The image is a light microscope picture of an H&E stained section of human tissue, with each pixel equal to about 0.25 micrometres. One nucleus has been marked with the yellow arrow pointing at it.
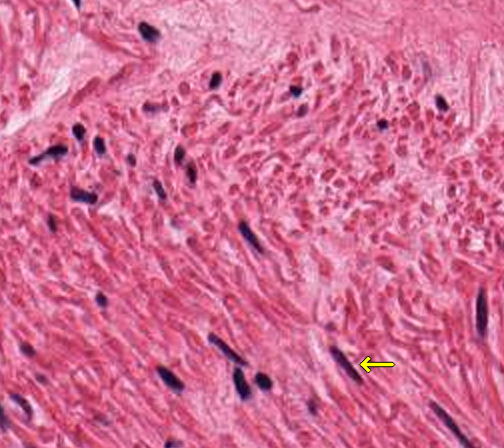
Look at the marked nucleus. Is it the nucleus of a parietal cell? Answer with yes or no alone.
no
